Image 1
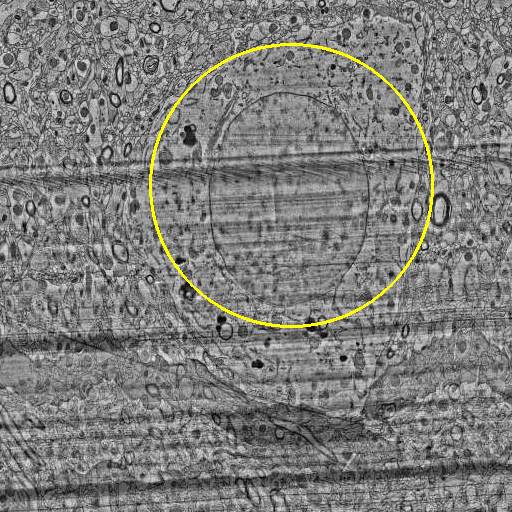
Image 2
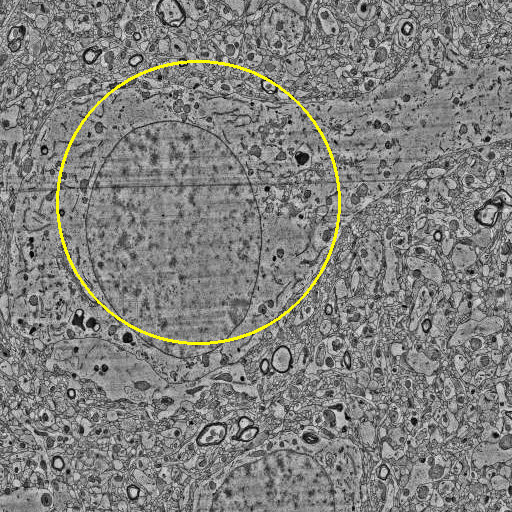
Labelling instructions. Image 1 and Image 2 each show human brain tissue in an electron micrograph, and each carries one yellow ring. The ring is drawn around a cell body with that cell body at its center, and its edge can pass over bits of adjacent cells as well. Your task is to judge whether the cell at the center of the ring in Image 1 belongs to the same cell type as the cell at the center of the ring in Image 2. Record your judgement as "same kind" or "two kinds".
same kind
